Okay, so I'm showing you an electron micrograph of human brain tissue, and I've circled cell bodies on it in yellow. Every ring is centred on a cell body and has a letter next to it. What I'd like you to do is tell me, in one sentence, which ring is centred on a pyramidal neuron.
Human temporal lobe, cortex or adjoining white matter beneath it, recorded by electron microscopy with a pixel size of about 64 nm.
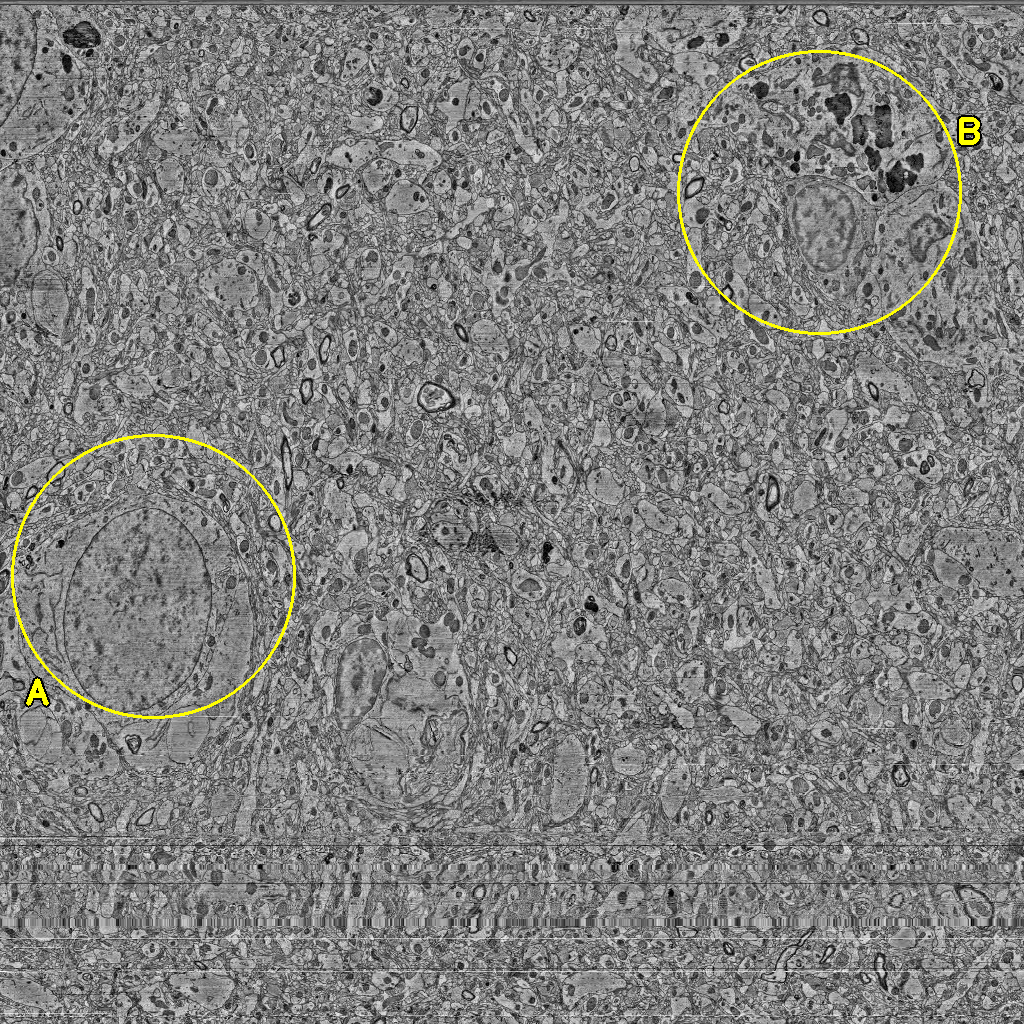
It's ring A.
